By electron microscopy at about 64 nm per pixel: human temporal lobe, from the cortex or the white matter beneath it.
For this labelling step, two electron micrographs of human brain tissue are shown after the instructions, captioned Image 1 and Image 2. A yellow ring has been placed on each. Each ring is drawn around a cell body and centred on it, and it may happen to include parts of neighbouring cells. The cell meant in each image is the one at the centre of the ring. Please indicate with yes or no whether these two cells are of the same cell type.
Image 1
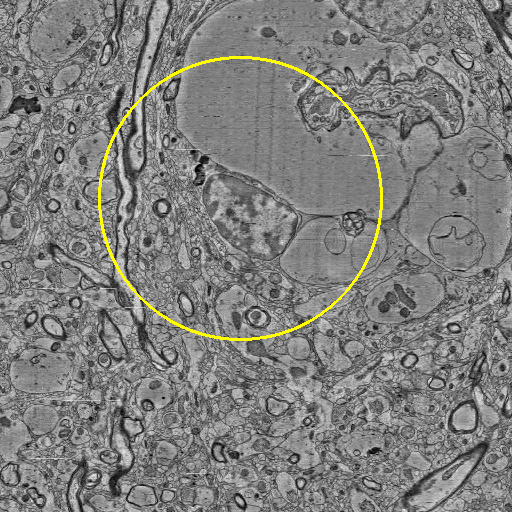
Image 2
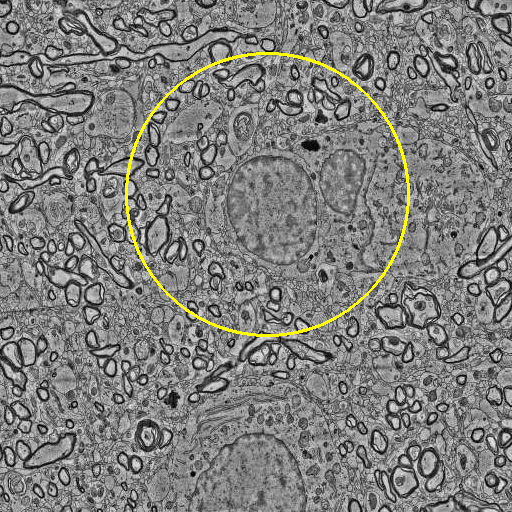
no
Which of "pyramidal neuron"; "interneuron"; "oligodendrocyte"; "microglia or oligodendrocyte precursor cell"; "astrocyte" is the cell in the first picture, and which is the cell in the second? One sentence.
The two differ: the first cell is a microglial cell or oligodendrocyte precursor cell and the second is an oligodendrocyte.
